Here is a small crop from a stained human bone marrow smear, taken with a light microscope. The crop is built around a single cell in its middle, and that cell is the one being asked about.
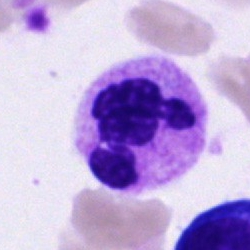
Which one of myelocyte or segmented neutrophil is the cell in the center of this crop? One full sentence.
The cell occupying the middle of the crop is a segmented neutrophil.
